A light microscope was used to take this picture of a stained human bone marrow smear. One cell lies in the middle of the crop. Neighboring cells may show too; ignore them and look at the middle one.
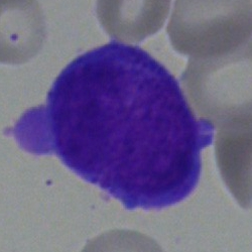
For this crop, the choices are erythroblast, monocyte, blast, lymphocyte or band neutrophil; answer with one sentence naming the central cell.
As for the cell in the middle, it is a blast.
